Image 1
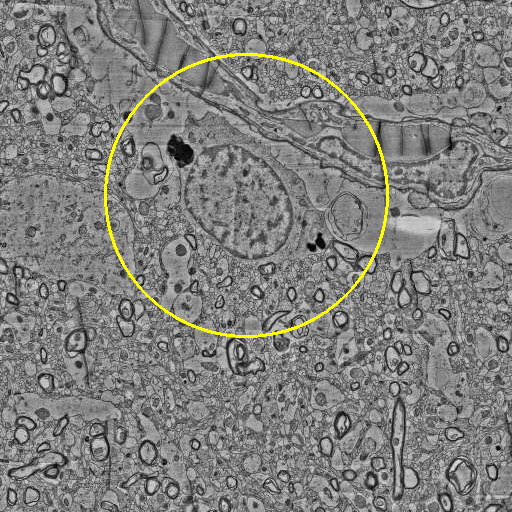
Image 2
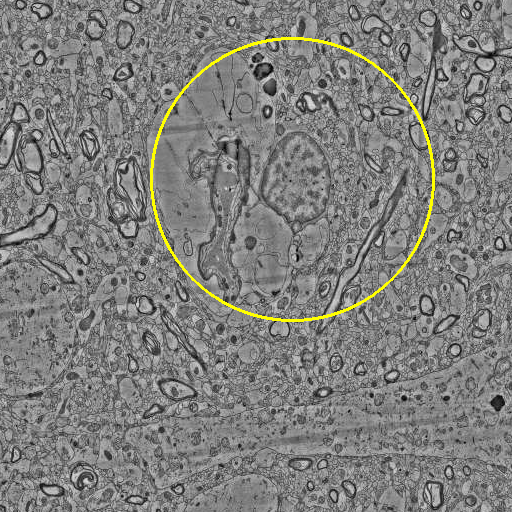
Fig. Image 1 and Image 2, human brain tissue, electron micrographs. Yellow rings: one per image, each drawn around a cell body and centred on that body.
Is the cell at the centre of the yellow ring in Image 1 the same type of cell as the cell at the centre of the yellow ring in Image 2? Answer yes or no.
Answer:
yes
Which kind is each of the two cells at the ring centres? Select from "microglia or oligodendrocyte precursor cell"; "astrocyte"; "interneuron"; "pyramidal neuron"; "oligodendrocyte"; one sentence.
Each of the ringed cells, first and second, is an oligodendrocyte.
